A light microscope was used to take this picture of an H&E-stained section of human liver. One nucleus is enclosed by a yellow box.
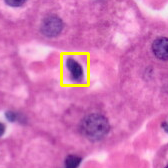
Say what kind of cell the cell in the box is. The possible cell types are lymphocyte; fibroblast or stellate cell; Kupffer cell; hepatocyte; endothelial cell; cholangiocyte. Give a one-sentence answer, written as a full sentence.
In cell-type terms, the cell in the box is a lymphocyte.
